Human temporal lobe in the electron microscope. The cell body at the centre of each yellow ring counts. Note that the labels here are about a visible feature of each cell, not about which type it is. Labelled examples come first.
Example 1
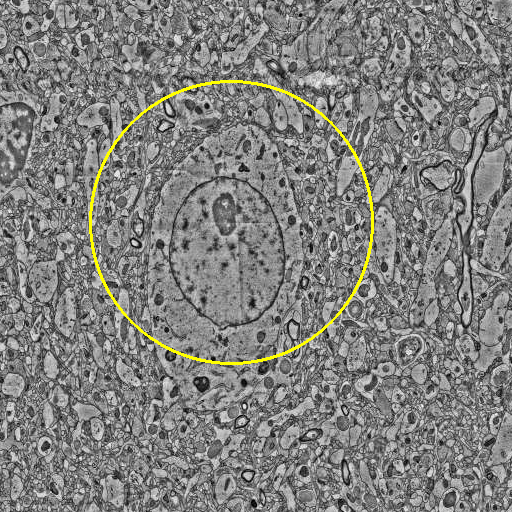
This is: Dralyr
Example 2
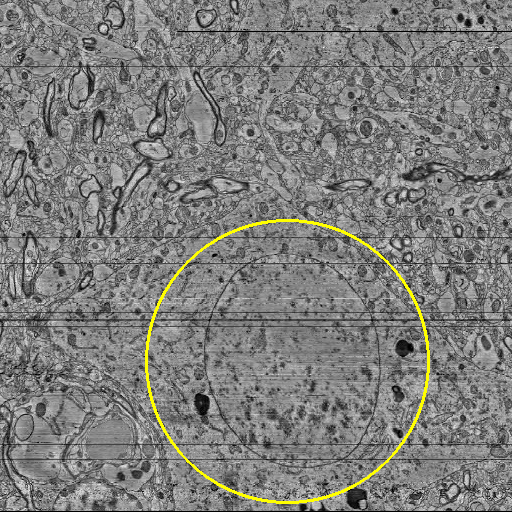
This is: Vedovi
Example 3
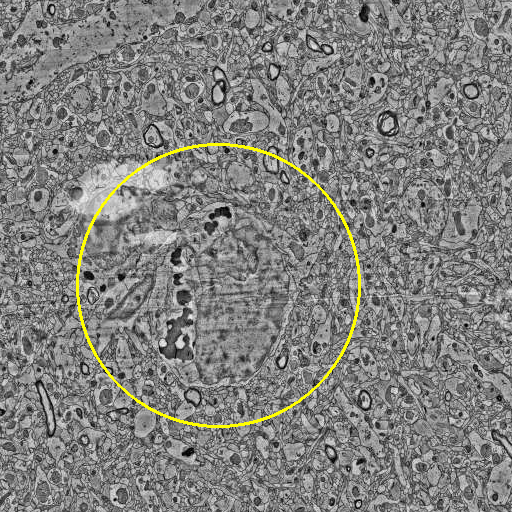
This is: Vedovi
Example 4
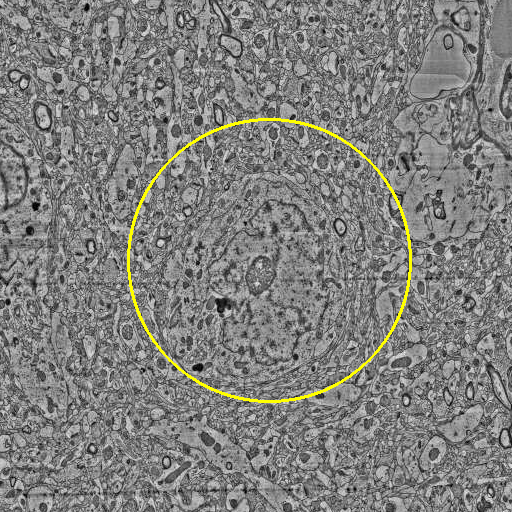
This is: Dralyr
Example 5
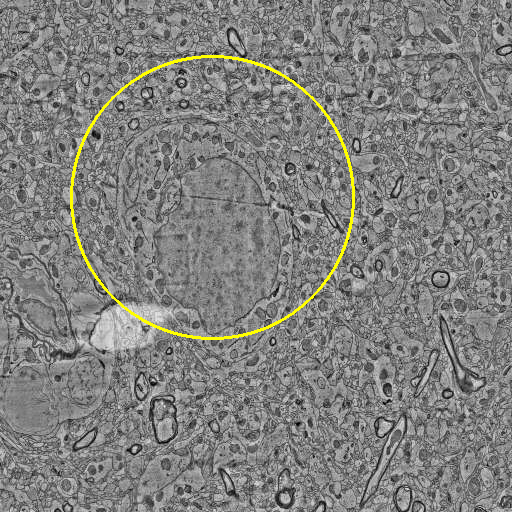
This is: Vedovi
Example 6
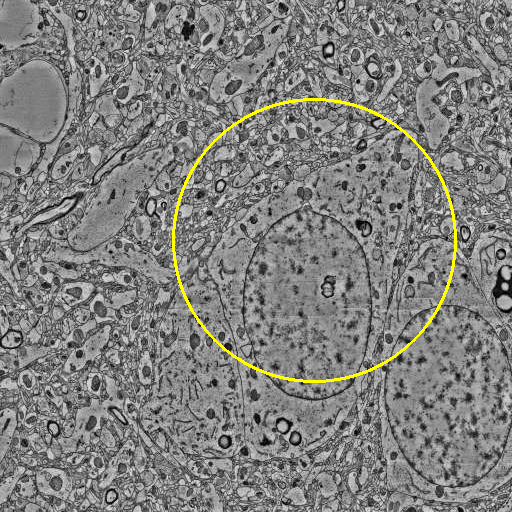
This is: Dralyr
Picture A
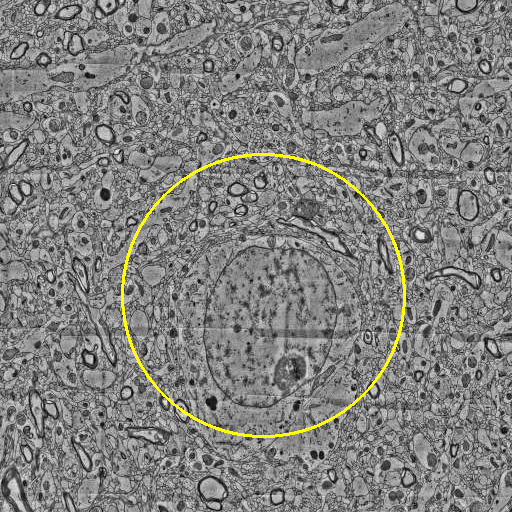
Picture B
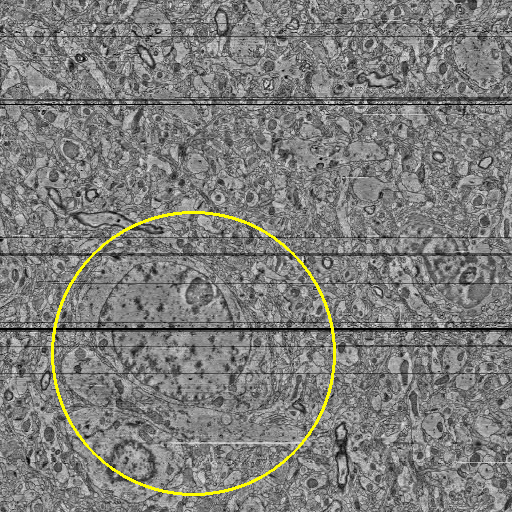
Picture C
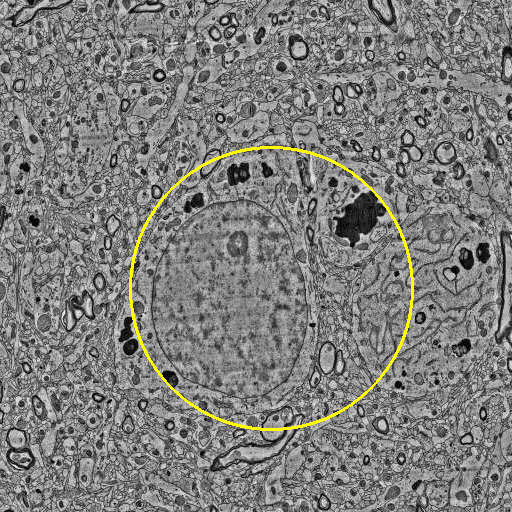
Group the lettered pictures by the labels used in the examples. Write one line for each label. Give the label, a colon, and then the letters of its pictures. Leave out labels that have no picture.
Dralyr: A, B, C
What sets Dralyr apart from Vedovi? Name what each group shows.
In Dralyr: nucleolus seen. In Vedovi: no nucleolus seen.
